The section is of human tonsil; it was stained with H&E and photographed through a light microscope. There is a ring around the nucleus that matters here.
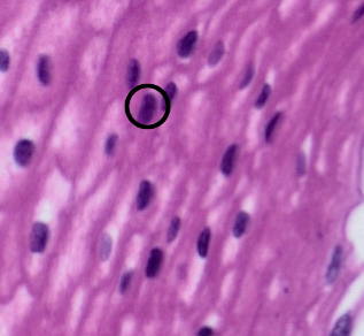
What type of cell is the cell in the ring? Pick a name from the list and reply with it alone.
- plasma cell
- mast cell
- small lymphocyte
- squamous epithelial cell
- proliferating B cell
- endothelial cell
squamous epithelial cell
